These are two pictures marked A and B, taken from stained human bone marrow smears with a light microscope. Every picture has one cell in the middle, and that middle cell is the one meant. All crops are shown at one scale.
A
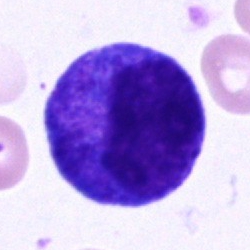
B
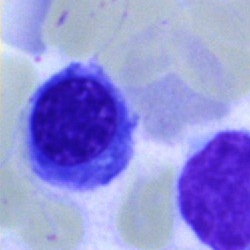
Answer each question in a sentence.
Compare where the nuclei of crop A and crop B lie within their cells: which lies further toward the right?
It is the nucleus in crop A that lies further toward the right of its cell.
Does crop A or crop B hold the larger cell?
Larger is the cell in crop A, at roughly 2 times the area of the other.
